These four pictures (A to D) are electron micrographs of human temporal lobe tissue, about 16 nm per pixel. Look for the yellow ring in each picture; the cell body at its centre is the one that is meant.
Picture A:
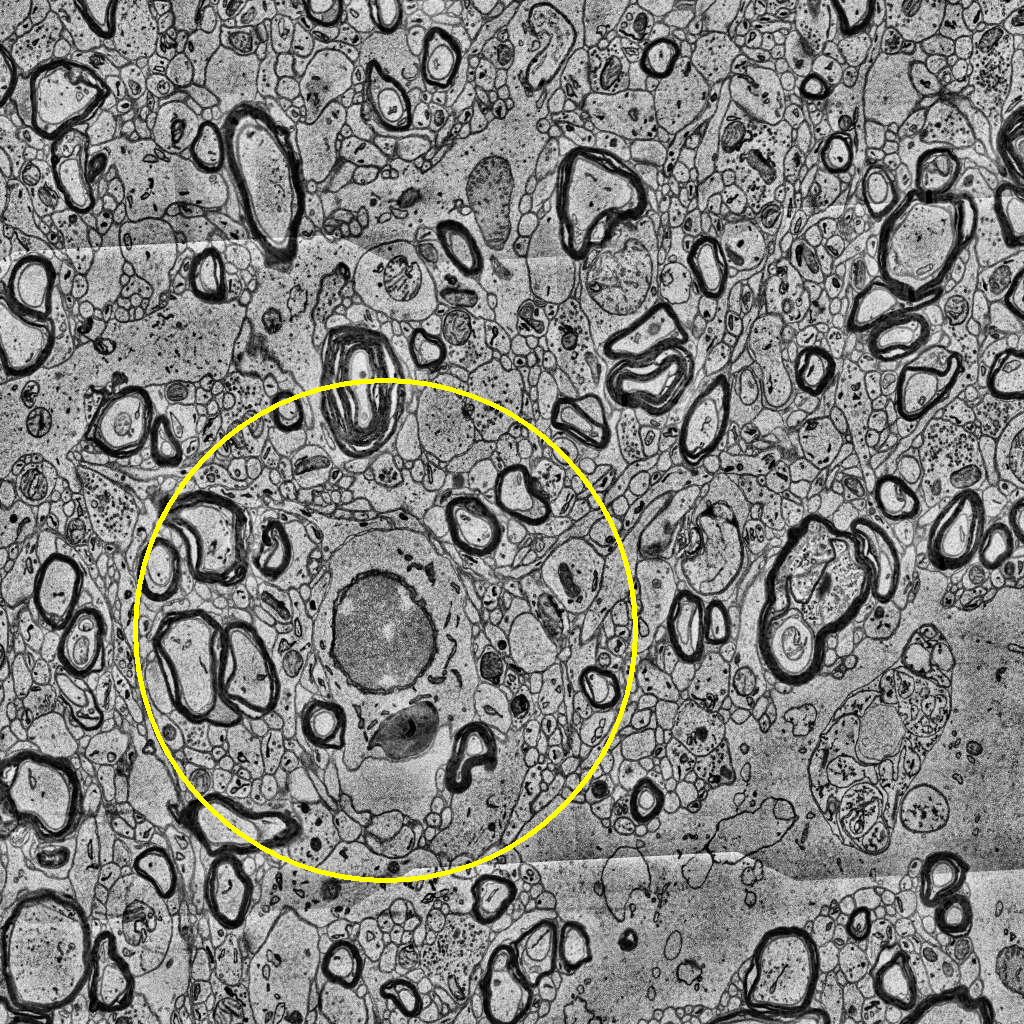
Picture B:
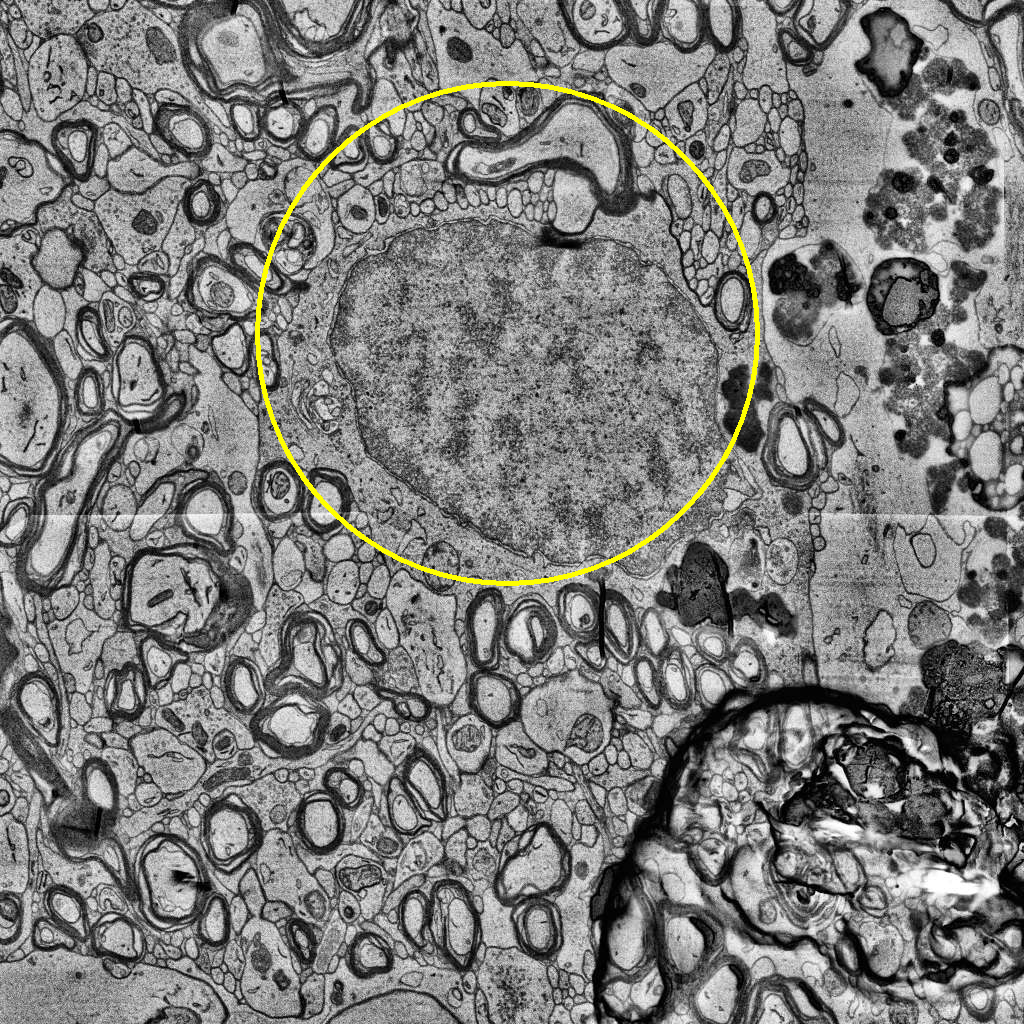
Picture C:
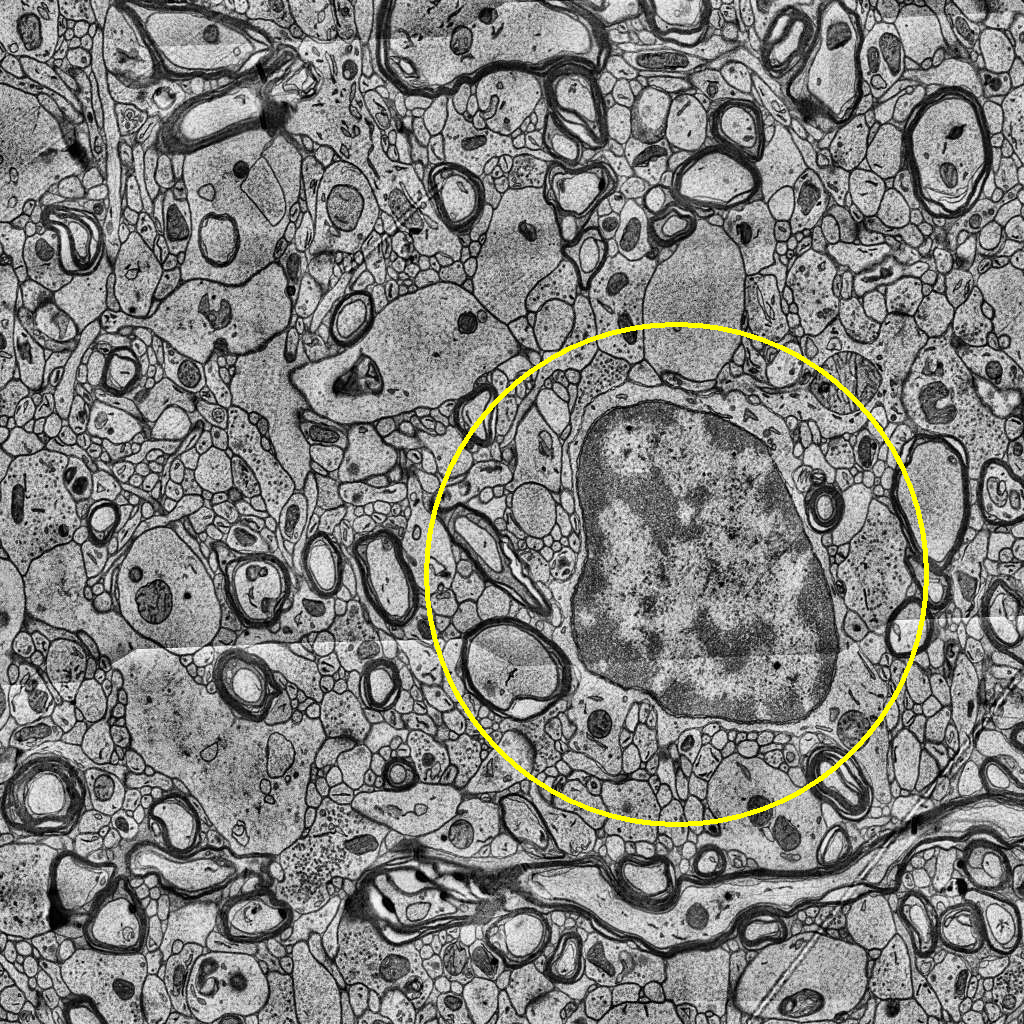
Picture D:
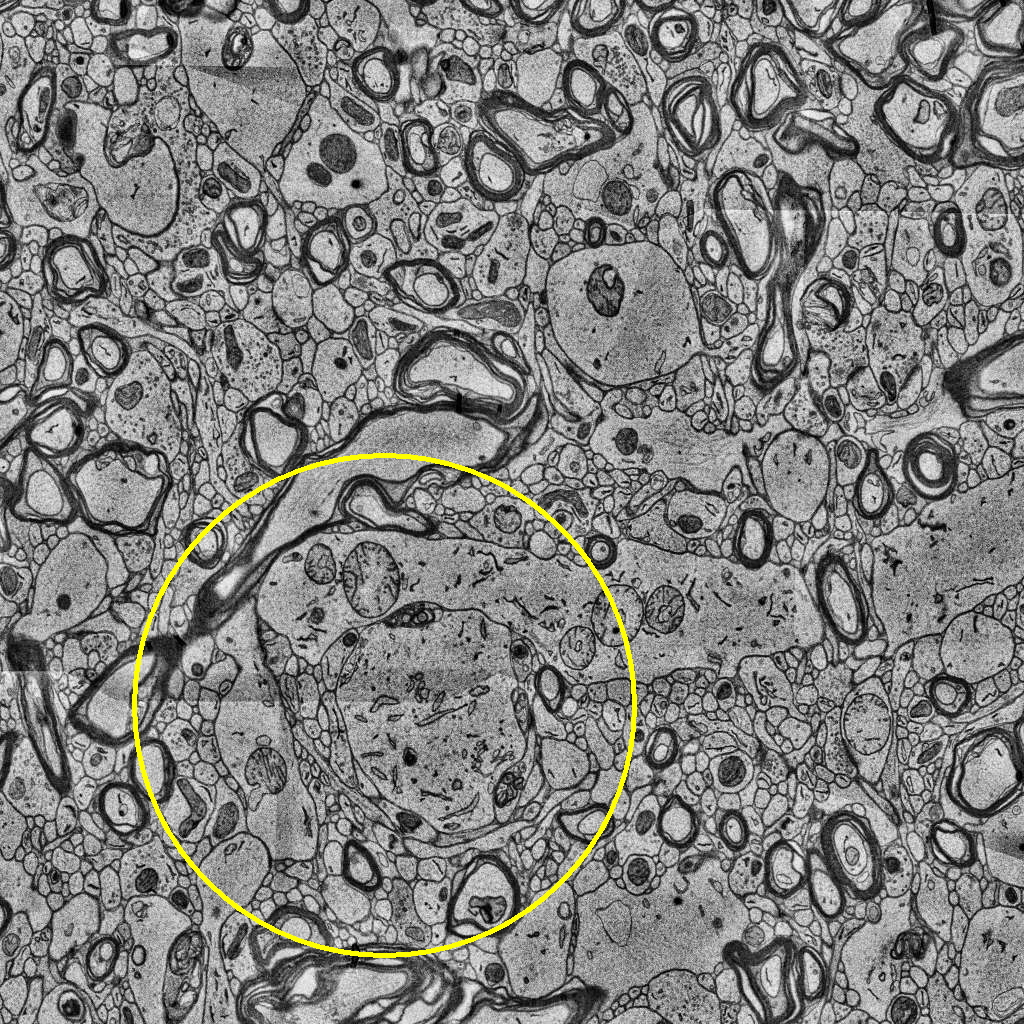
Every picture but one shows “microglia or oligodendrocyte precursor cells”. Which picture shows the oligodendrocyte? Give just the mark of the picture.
B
